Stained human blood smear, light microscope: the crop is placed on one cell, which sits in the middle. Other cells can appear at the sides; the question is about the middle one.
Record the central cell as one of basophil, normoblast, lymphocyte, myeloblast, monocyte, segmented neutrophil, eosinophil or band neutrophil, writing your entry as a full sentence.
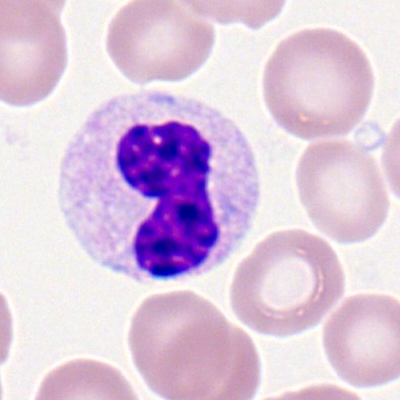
By type, the central cell of the crop is a band neutrophil.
